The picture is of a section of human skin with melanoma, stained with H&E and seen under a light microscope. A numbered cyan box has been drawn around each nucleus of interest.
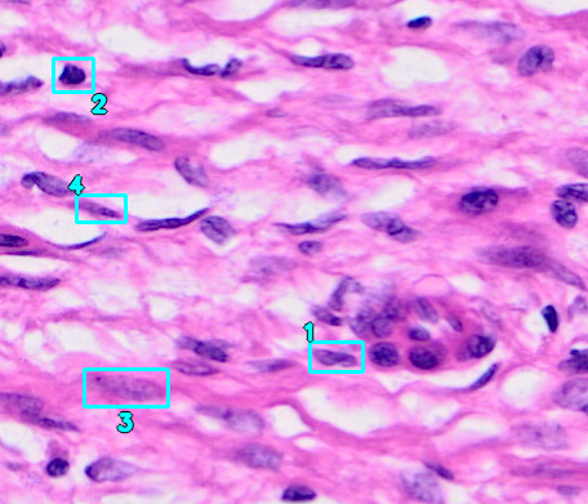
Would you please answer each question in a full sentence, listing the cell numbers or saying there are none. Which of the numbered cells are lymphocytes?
The cell bearing the number 2 is a lymphocyte, unlike the rest of the numbered cells.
